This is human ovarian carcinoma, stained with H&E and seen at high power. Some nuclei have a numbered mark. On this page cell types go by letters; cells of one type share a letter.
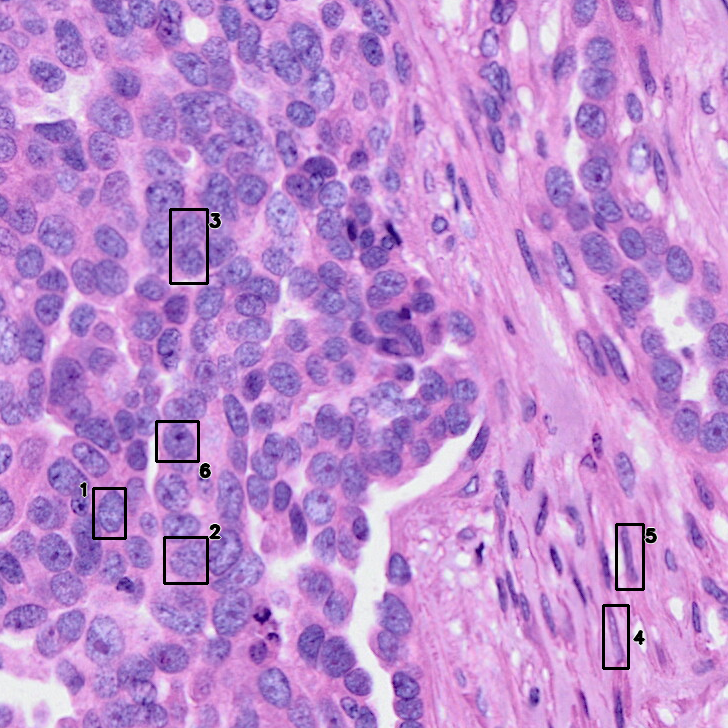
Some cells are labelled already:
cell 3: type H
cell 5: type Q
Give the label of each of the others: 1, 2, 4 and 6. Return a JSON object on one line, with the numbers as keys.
{"1": "type H", "2": "type H", "4": "type Q", "6": "type H"}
